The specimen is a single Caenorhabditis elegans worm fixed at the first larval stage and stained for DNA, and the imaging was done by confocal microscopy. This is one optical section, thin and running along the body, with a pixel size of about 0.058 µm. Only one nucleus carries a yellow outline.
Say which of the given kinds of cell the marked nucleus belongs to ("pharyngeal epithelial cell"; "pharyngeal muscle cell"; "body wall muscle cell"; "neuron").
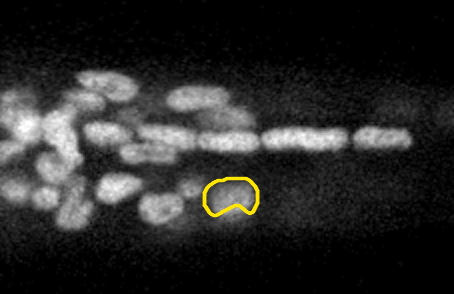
body wall muscle cell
